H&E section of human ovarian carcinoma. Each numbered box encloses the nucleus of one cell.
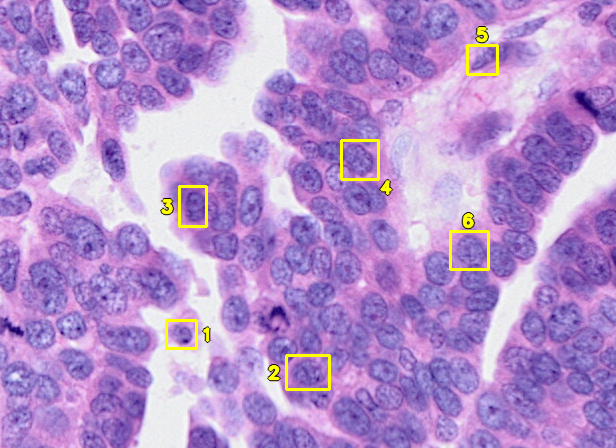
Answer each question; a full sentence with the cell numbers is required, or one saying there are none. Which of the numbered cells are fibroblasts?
Just one of the numbered cells is a fibroblast, namely number 5.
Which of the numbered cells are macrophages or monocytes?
The only cell among those numbered to be a macrophage or monocyte is number 1.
